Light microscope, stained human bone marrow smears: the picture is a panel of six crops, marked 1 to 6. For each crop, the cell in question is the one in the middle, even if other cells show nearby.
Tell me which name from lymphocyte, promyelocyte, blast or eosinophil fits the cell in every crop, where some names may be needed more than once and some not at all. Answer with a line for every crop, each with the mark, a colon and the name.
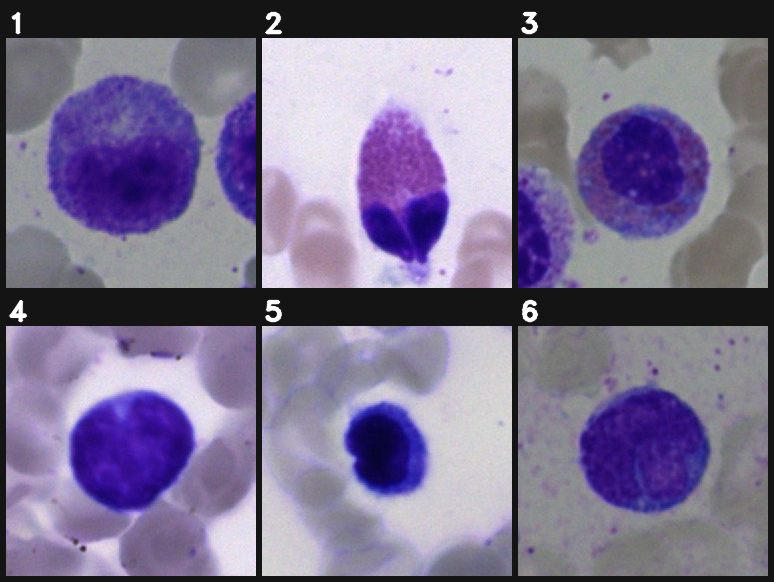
1: promyelocyte
2: eosinophil
3: eosinophil
4: lymphocyte
5: lymphocyte
6: blast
